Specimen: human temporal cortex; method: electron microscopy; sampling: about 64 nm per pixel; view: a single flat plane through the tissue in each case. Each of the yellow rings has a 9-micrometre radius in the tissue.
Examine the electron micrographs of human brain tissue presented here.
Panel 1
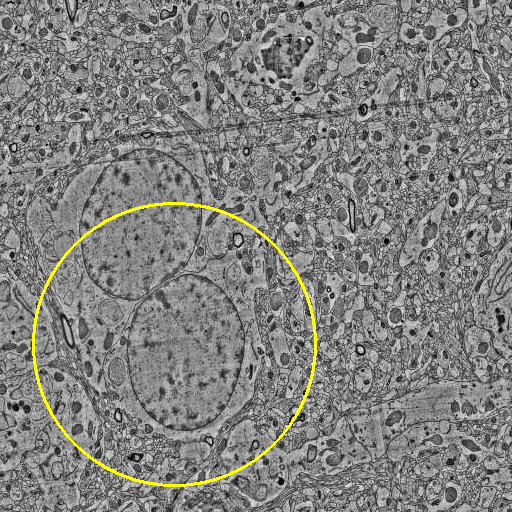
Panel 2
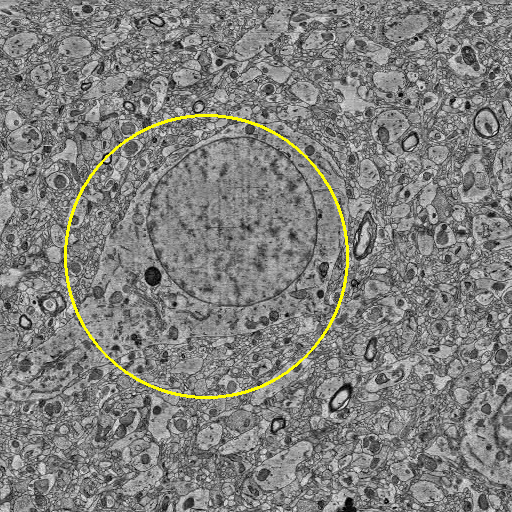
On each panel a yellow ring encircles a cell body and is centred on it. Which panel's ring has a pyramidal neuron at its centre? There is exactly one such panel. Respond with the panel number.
2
